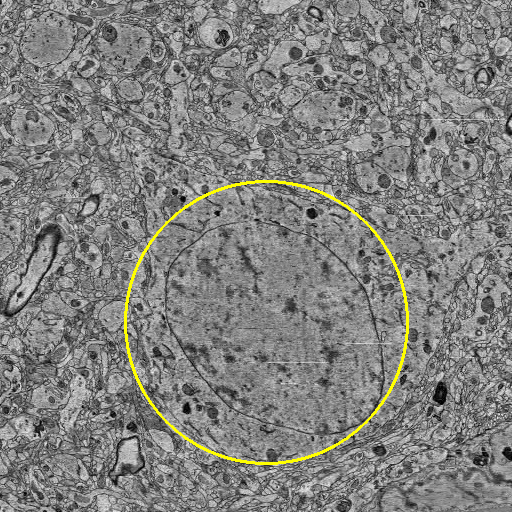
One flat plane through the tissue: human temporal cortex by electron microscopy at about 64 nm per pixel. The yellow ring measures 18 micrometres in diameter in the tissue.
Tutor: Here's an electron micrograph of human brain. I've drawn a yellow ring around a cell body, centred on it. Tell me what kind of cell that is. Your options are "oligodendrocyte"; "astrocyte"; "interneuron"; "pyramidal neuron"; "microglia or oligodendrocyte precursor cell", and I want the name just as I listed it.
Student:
pyramidal neuron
